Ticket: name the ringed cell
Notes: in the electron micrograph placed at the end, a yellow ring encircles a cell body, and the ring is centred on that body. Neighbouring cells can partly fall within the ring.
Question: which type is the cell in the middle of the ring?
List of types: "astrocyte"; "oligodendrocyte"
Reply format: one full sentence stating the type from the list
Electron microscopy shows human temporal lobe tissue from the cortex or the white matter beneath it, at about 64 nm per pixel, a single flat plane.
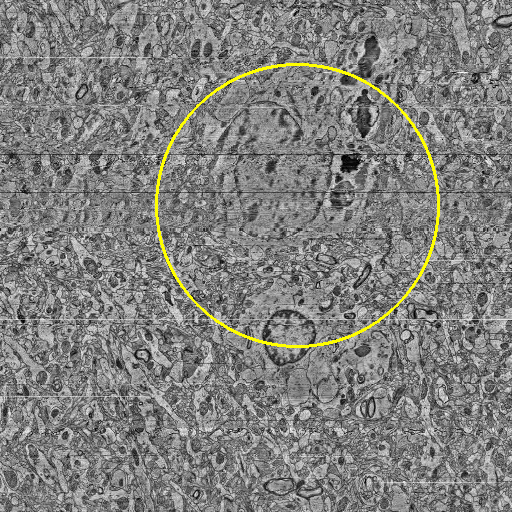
The cell sitting at the centre of the yellow ring is an astrocyte.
